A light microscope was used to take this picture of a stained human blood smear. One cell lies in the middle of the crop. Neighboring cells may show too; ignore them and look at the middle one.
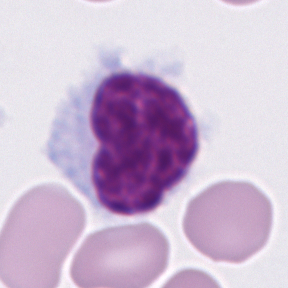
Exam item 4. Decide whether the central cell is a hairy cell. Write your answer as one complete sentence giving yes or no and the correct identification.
Yes, in the centre of this field sits a hairy cell.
